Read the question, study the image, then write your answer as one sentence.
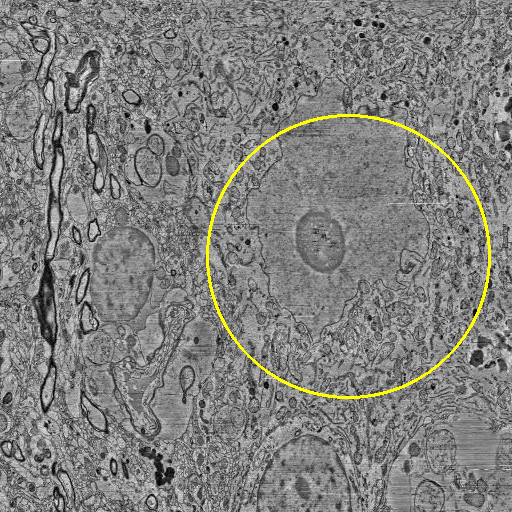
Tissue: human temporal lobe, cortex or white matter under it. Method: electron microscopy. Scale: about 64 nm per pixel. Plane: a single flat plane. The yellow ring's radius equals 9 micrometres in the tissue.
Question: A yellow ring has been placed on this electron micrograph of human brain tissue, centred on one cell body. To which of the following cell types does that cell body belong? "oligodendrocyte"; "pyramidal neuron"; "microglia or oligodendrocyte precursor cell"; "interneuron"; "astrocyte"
That cell body belongs to a pyramidal neuron.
